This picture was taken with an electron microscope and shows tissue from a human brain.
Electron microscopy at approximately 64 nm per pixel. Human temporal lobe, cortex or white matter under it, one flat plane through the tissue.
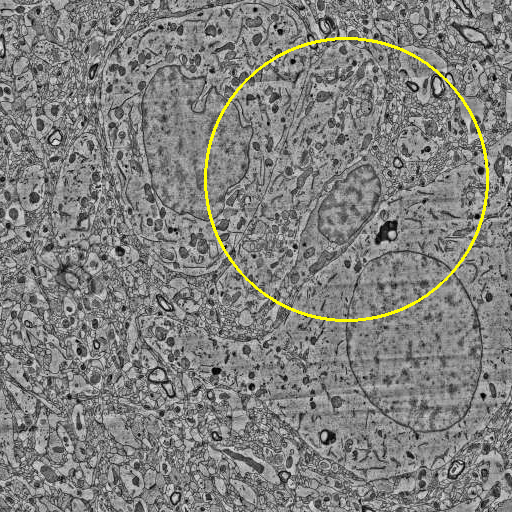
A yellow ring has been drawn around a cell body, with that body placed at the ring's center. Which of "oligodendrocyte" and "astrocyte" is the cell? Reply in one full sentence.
In this picture, an oligodendrocyte is the cell at the center of the yellow ring.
